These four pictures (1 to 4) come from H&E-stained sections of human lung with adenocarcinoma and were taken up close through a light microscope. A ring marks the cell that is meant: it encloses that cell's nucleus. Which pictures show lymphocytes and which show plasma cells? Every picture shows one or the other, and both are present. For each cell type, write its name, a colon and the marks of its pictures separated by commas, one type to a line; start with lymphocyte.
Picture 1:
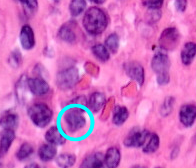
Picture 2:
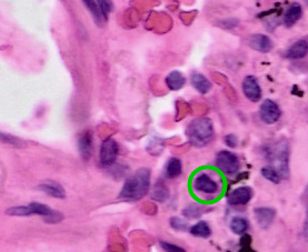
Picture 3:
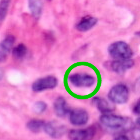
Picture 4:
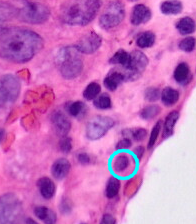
lymphocyte: 1, 3, 4
plasma cell: 2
